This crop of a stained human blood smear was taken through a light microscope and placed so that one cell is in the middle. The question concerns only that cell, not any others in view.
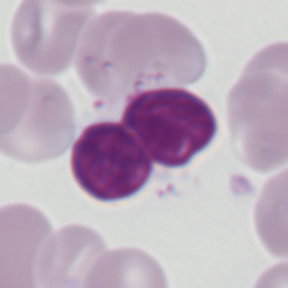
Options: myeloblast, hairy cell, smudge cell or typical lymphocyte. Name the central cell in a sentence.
Occupying the centre of the crop is a smudge cell.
